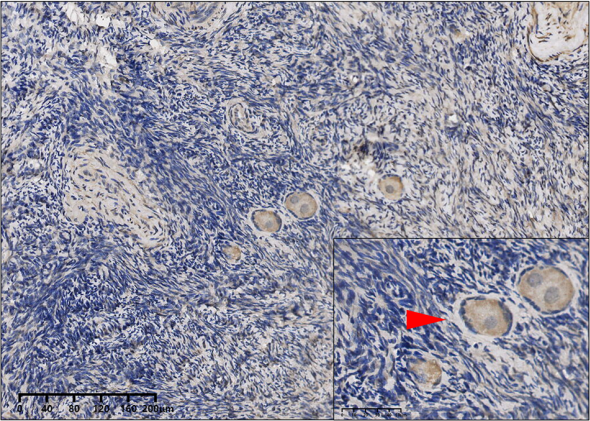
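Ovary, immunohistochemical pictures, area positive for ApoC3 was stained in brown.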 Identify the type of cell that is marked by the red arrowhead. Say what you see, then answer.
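The arrowhead in the inset points to a large round cell with brownish cytoplasm and a round central nucleus. Several similar large round cells lie in a small cluster within dense stroma. Each is ringed by a thin layer of flattened cells.
Conclusion: oocytes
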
